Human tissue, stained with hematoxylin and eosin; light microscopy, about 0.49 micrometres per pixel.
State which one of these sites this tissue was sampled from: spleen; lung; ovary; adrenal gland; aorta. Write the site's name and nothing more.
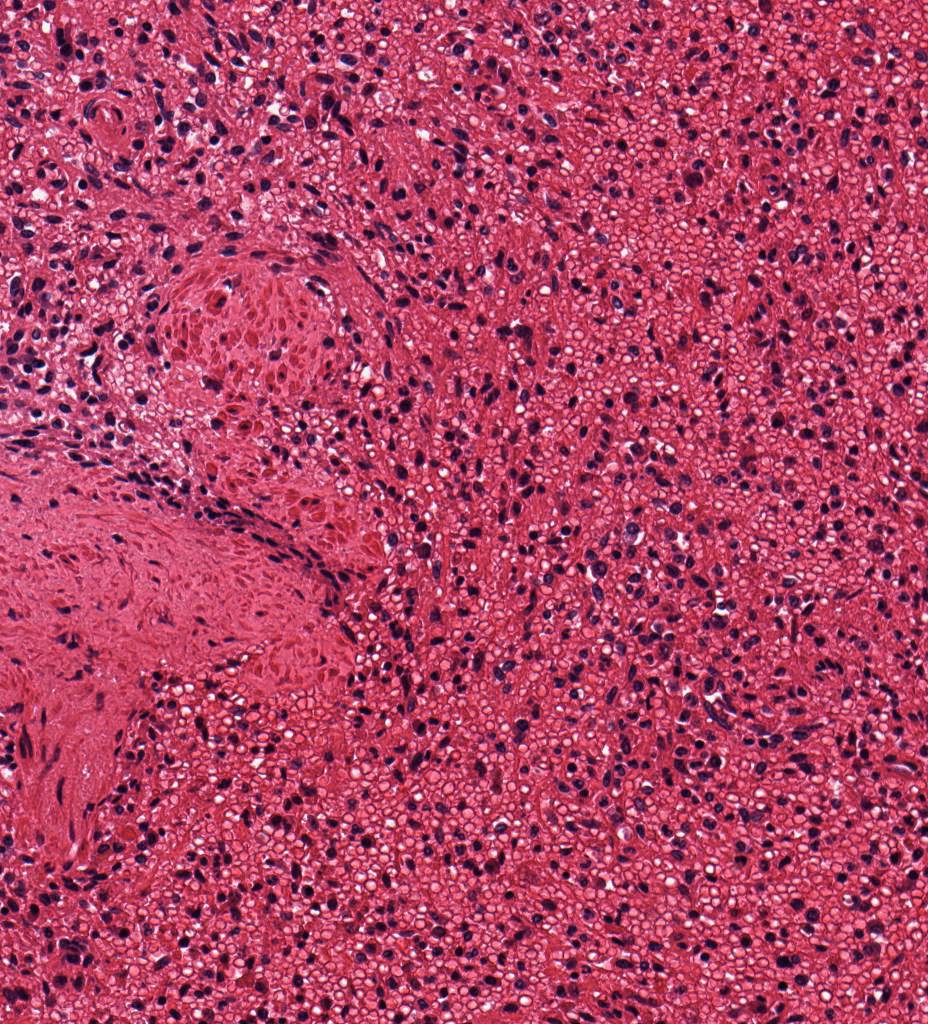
spleen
